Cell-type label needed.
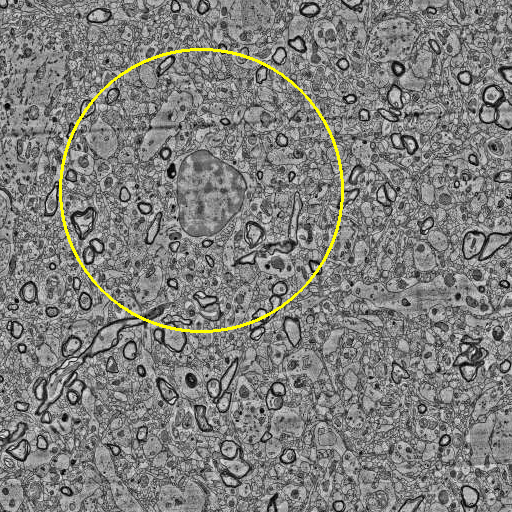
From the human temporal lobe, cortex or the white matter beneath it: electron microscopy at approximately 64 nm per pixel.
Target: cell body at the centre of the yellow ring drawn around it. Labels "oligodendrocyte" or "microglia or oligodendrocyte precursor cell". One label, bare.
microglia or oligodendrocyte precursor cell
